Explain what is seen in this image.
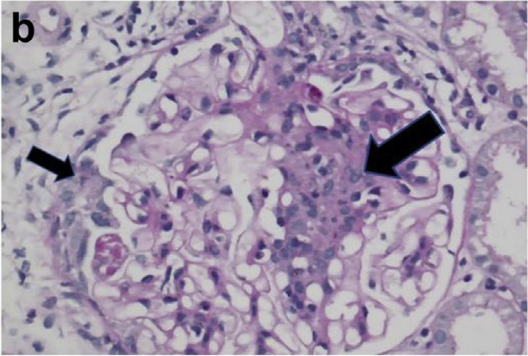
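This is a kidney glomerulus in which the capillary tuft is markedly hypercellular, with many dark nuclei crowding the loops. In the central part of the tuft the capillary lumina are filled with cells, the picture of endocapillary hypercellularity, while other loops still show open lumina outlined by pink basement membranes. At the edge of the tuft, next to Bowman's capsule, cells accumulate outside the capillaries, an extracapillary proliferation. Surrounding tubules with pink-staining epithelium and interstitial nuclei are seen around the glomerulus.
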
